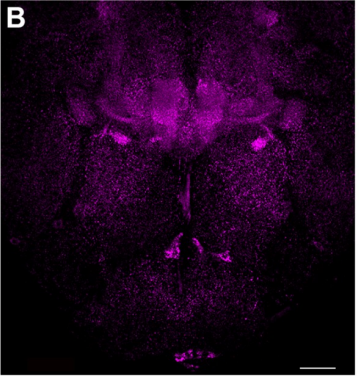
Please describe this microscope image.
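The organ is bilaterally symmetric: a central mass flanked by two broad lateral regions. The label is densest in the upper central neuropil, where bright paired regions and curved bands of puncta arch out toward both sides. Smaller bright foci sit symmetrically on either side. Thin labeled strands run down the midline to bright structures in the lower central brain. The lateral regions carry a fainter, evenly scattered speckling of puncta.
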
